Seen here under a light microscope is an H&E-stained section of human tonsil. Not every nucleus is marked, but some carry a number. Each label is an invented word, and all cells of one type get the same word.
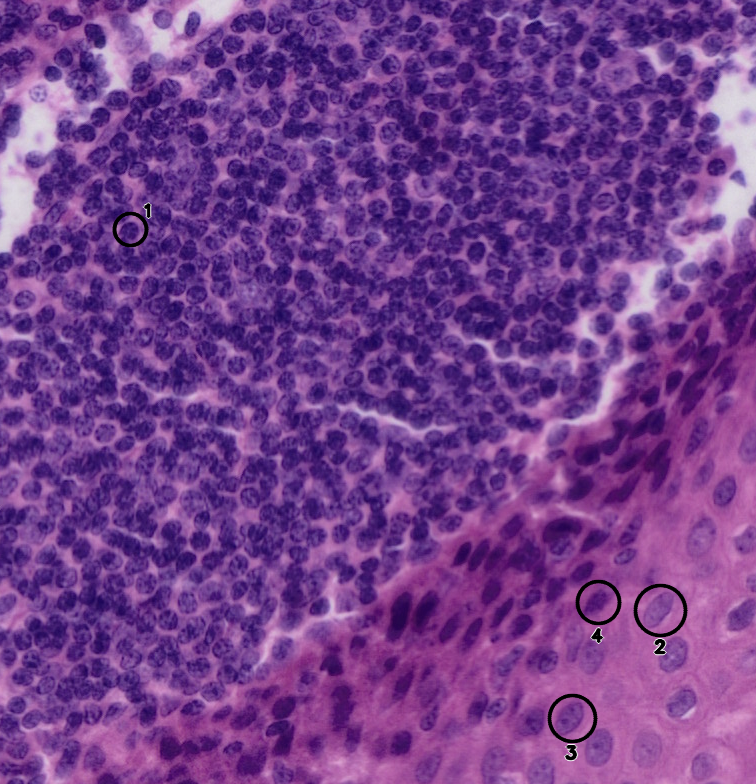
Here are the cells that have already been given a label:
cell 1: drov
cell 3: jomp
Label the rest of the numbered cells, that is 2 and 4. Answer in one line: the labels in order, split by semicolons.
jomp; jomp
